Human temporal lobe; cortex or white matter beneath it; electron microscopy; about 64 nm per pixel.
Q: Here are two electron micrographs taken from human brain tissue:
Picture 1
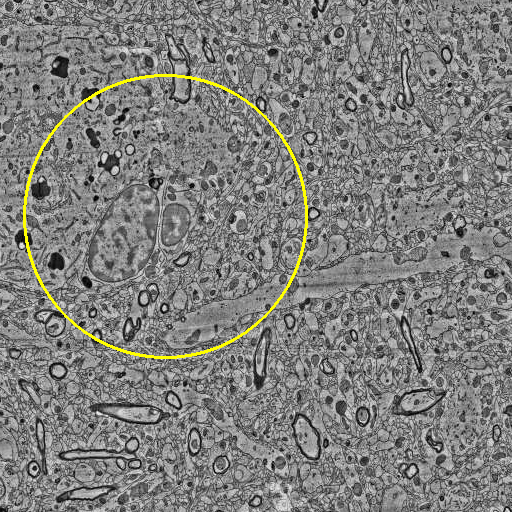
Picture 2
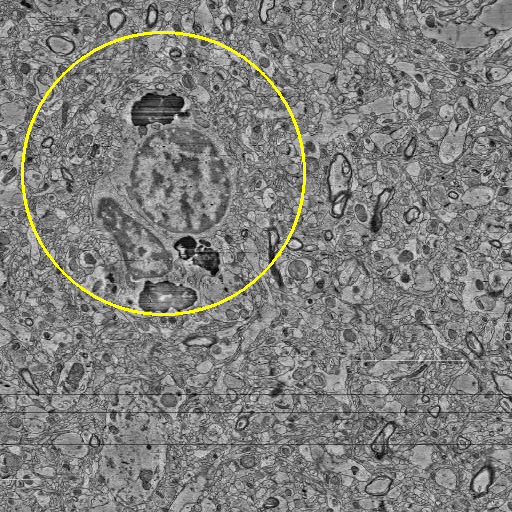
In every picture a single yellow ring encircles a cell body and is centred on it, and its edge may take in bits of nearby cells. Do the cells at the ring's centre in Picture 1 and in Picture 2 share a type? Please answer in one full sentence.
No, the cells at the ring's centre in Picture 1 and Picture 2 are of two types.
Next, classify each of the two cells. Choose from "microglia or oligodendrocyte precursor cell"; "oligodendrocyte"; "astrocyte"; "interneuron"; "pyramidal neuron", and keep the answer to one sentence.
In the first picture it is a microglial cell or oligodendrocyte precursor cell; in the second it is an oligodendrocyte.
